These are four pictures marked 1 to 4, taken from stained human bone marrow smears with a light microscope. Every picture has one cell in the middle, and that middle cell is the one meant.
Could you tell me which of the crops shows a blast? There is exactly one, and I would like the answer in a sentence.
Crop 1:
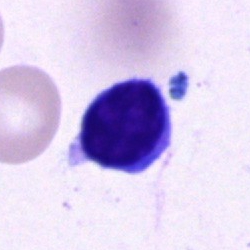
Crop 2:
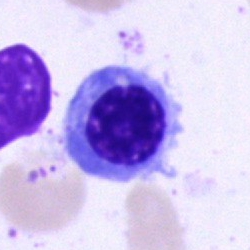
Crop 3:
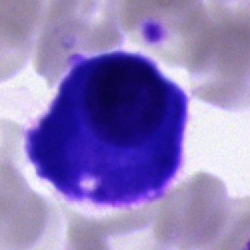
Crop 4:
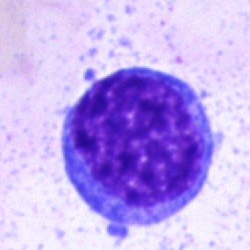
Of the labelled crops, the one that shows a blast is crop 4.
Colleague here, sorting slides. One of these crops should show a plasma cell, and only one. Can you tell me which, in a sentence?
Crop 3 is where a plasma cell is shown.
